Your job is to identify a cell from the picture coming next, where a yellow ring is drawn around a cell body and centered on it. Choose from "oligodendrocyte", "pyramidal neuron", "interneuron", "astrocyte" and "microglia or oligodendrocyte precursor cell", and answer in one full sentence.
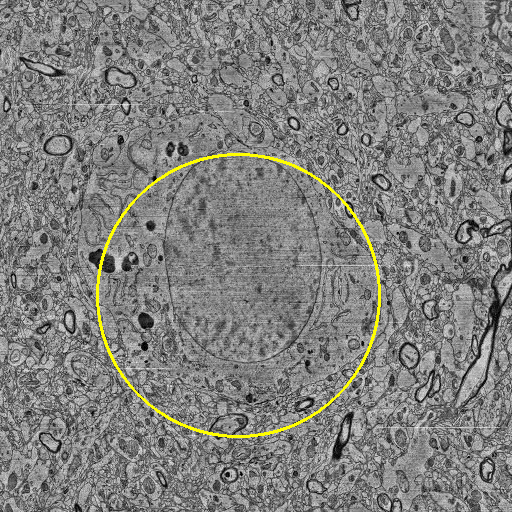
Centered in the yellow ring of the picture is the body of a pyramidal neuron.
